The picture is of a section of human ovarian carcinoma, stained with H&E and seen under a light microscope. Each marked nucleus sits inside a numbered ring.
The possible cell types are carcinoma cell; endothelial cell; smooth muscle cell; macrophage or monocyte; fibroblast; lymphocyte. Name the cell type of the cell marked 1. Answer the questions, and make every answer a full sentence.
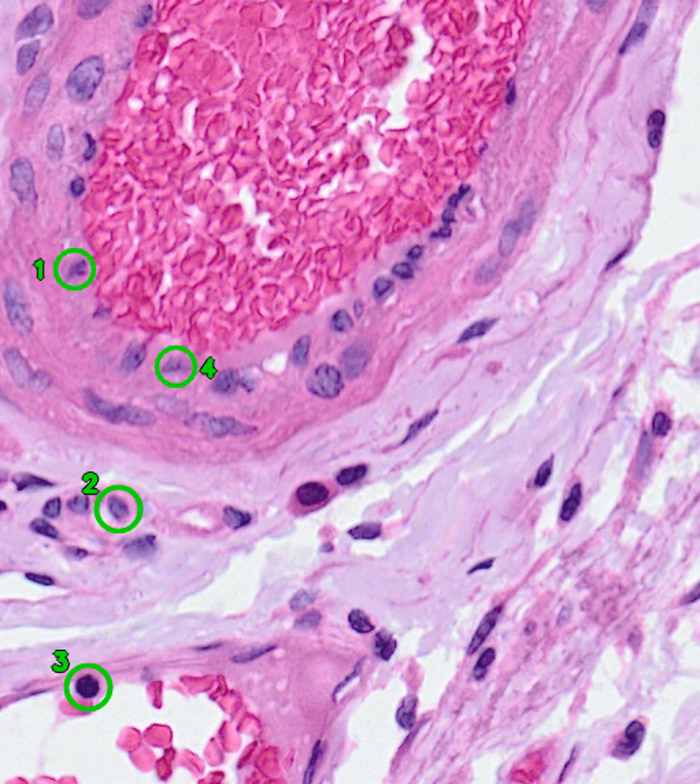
Here the cell numbered 1 is an endothelial cell.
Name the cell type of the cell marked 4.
The cell assigned the number 4 is an endothelial cell.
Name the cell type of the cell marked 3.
Corresponding to a lymphocyte is the cell labelled 3.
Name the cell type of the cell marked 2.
Within this field of view, the cell labelled 2 is an endothelial cell.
